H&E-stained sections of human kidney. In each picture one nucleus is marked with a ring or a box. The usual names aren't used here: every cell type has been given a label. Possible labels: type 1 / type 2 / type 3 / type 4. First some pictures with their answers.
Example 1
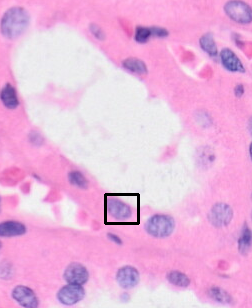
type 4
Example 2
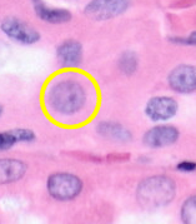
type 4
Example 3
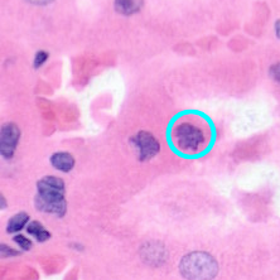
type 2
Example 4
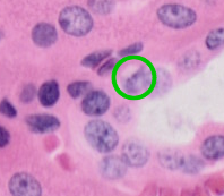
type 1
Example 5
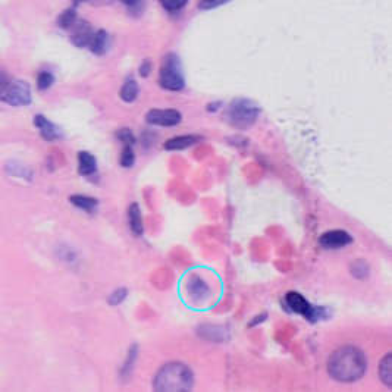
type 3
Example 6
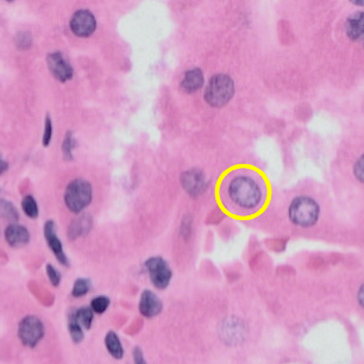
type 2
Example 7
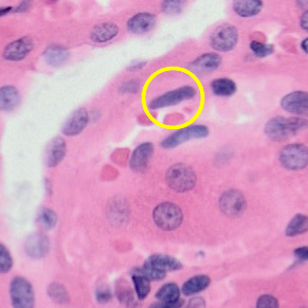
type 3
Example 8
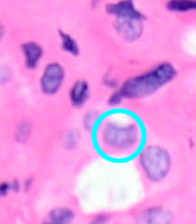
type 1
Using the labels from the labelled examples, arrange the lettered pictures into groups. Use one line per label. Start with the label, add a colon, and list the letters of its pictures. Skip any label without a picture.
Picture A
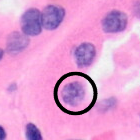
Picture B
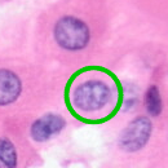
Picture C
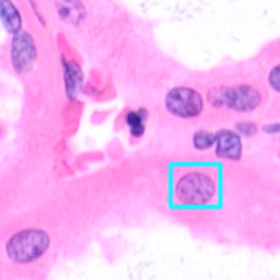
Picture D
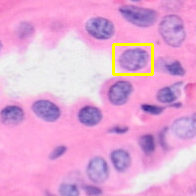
type 1: B
type 2: C
type 4: A, D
